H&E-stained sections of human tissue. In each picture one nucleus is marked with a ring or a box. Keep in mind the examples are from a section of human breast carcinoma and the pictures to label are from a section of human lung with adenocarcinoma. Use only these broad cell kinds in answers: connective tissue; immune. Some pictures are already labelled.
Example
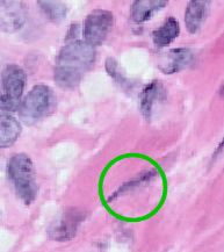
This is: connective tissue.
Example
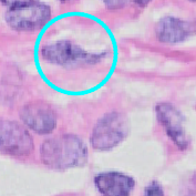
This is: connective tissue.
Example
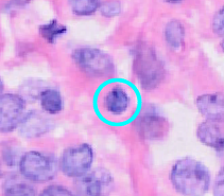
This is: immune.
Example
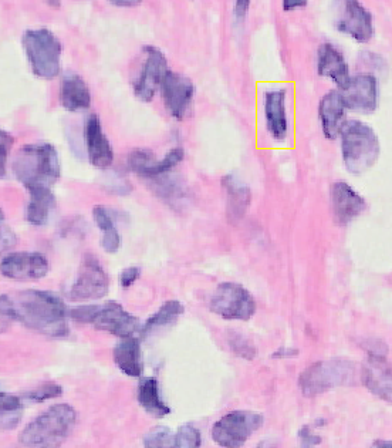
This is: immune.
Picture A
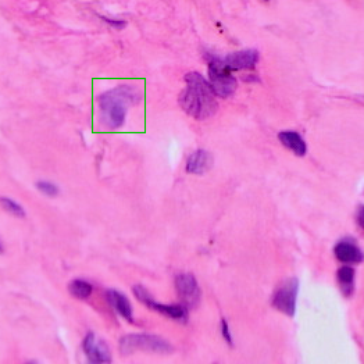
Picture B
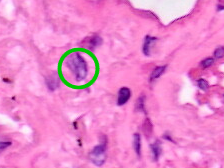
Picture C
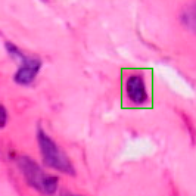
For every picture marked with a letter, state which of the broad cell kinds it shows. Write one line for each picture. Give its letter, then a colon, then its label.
A: connective tissue.
B: connective tissue.
C: immune.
